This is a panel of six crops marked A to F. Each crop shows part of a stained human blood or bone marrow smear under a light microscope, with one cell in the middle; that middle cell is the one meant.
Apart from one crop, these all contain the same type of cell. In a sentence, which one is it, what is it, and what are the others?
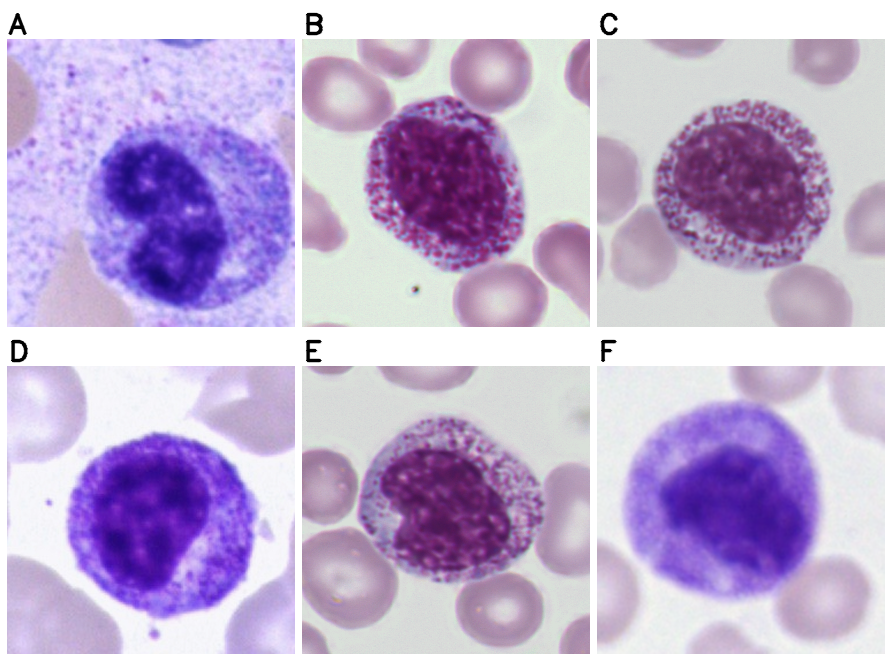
Crop A breaks the pattern with a metamyelocyte; all the others show myelocytes.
